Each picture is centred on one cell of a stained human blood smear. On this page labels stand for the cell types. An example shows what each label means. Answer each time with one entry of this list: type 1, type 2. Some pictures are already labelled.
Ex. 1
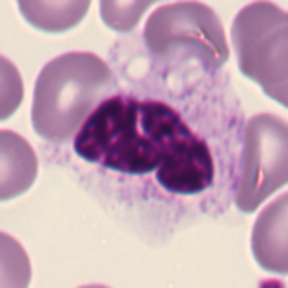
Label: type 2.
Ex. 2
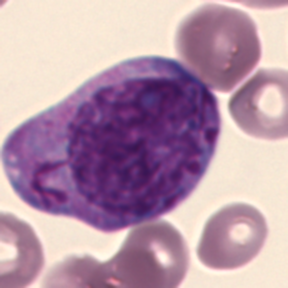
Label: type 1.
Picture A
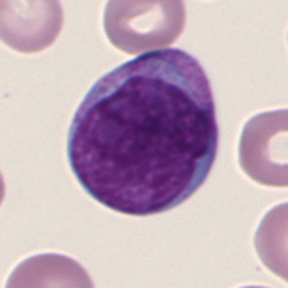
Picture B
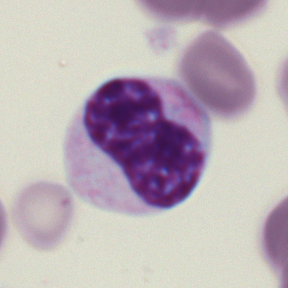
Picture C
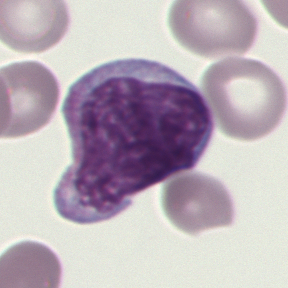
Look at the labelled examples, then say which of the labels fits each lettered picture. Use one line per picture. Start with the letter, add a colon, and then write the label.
A: type 1.
B: type 2.
C: type 1.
